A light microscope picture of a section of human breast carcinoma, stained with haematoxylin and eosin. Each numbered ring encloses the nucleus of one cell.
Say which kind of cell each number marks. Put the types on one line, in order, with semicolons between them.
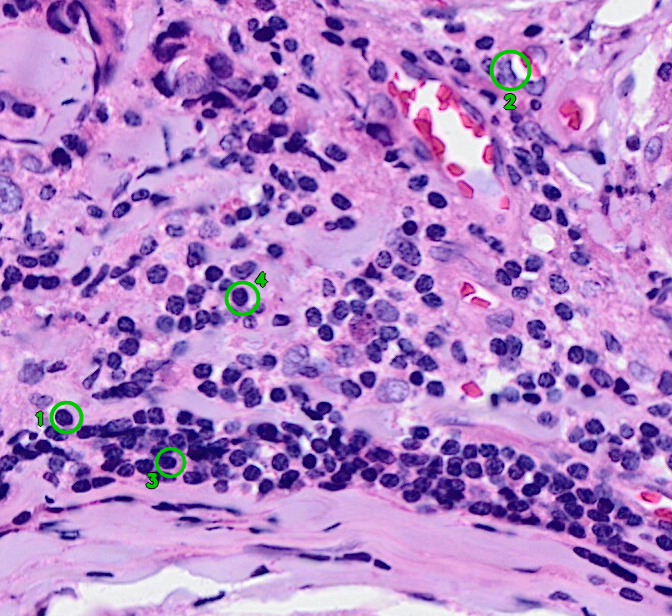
lymphocyte; endothelial cell; lymphocyte; lymphocyte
